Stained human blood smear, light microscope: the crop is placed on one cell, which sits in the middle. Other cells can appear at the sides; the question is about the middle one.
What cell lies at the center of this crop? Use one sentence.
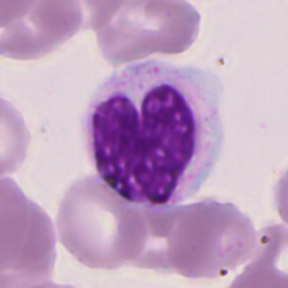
The single cell at the center of the crop is a band neutrophil.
